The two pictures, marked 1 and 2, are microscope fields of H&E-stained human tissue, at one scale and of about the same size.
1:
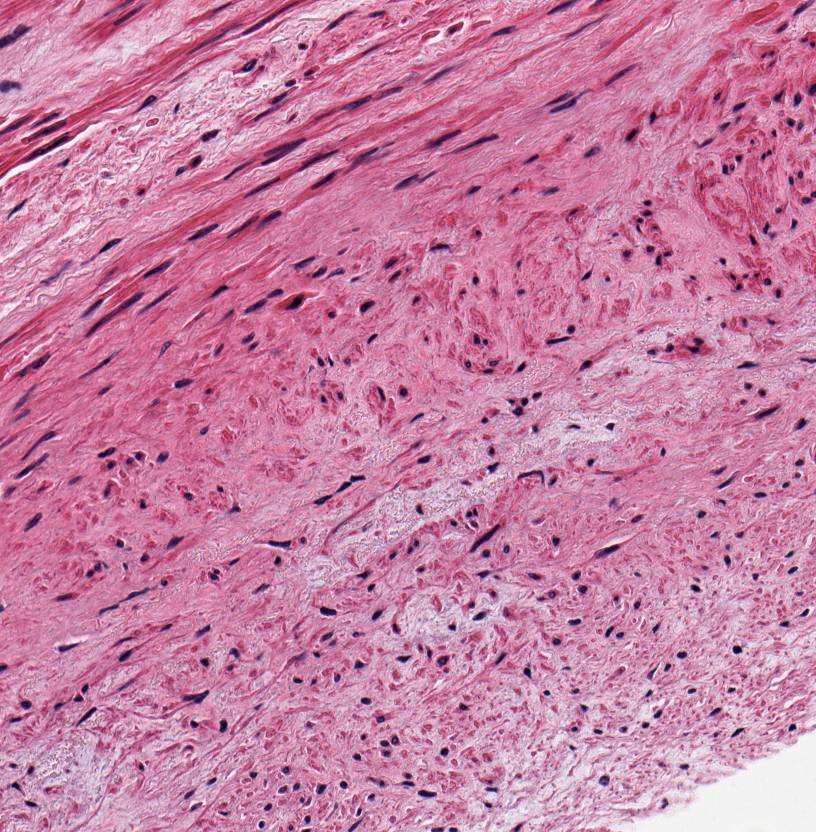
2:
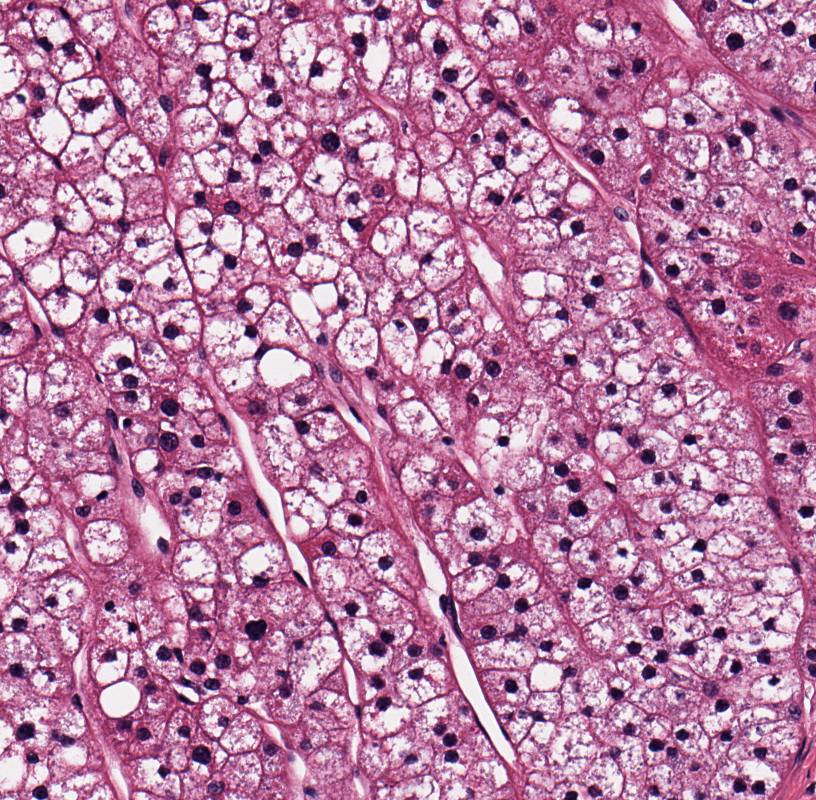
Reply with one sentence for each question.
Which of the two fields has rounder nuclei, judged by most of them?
It is field 2 whose nuclei are the rounder.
